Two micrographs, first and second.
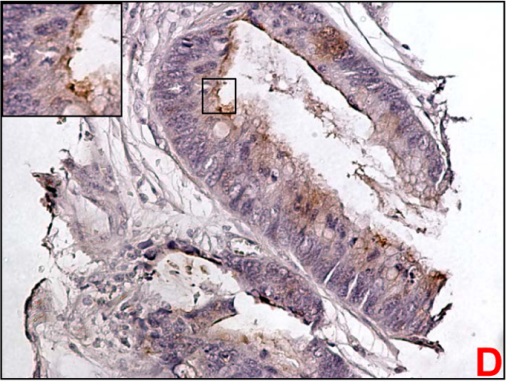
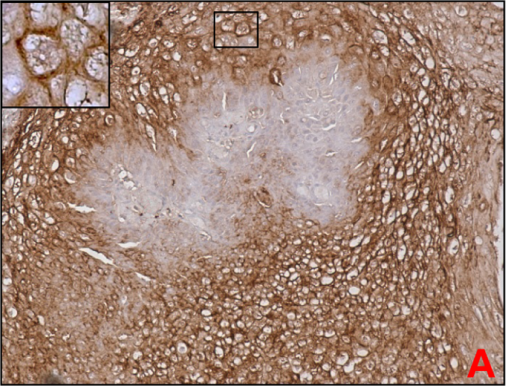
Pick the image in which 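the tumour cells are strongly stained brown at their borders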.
The second image.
